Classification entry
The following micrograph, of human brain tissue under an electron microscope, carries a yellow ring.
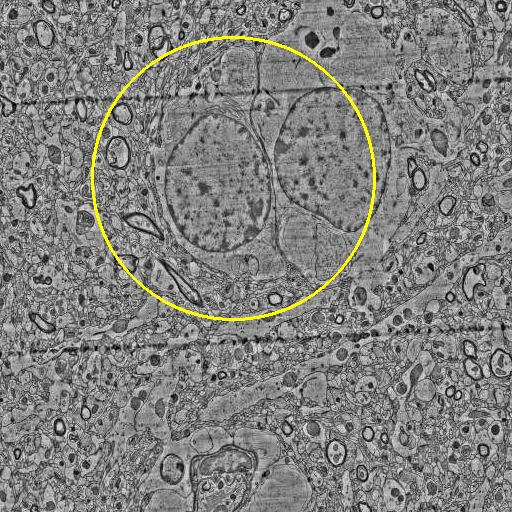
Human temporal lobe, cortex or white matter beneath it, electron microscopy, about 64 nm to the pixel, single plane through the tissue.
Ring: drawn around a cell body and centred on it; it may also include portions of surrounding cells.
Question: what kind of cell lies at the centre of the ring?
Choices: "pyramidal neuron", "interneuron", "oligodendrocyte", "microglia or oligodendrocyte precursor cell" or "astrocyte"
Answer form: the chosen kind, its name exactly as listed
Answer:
astrocyte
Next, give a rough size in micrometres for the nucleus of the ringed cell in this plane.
In this plane, approximately 9 by 7 micrometers.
